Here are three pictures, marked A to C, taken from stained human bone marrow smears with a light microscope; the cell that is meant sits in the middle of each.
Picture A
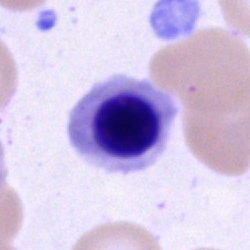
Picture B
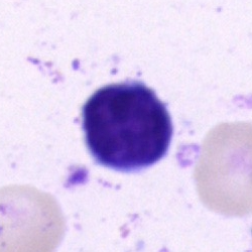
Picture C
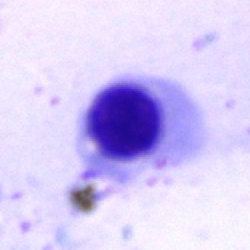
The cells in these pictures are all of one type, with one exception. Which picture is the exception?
B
